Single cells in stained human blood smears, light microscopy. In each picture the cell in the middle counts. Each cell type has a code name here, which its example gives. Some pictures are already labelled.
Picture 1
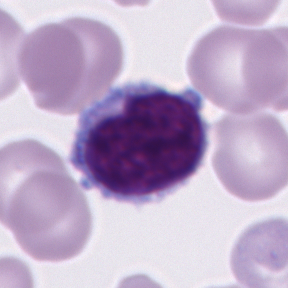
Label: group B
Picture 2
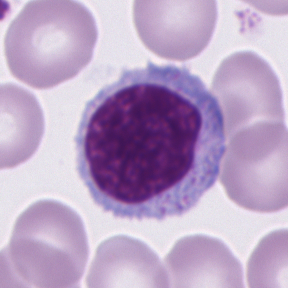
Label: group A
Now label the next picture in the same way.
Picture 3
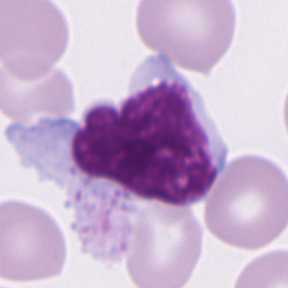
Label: group A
